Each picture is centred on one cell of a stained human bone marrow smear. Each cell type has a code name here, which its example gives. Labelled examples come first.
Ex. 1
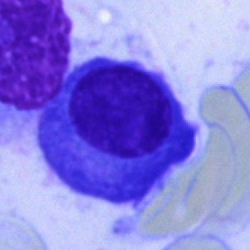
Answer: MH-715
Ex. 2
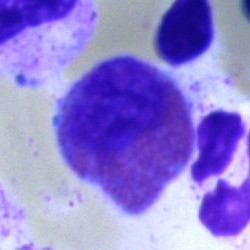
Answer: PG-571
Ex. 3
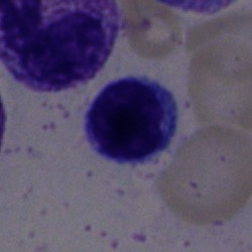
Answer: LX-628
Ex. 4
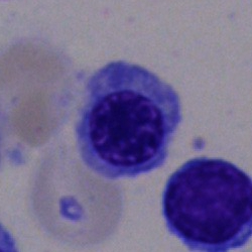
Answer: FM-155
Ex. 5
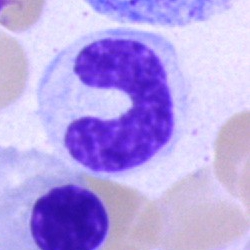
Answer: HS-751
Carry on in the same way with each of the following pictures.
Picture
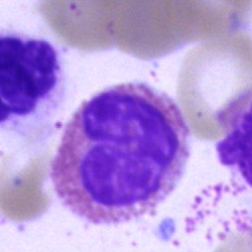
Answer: PG-571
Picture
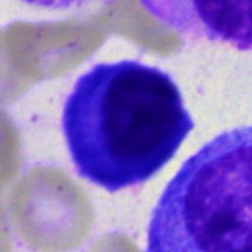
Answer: MH-715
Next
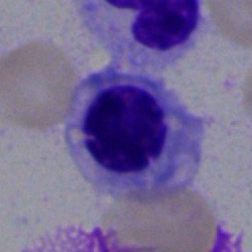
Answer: FM-155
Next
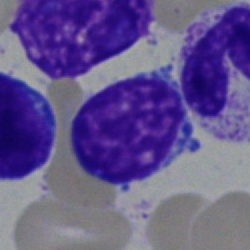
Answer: LX-628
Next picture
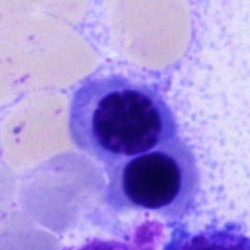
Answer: FM-155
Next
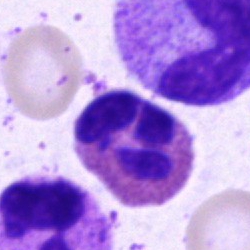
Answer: PG-571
